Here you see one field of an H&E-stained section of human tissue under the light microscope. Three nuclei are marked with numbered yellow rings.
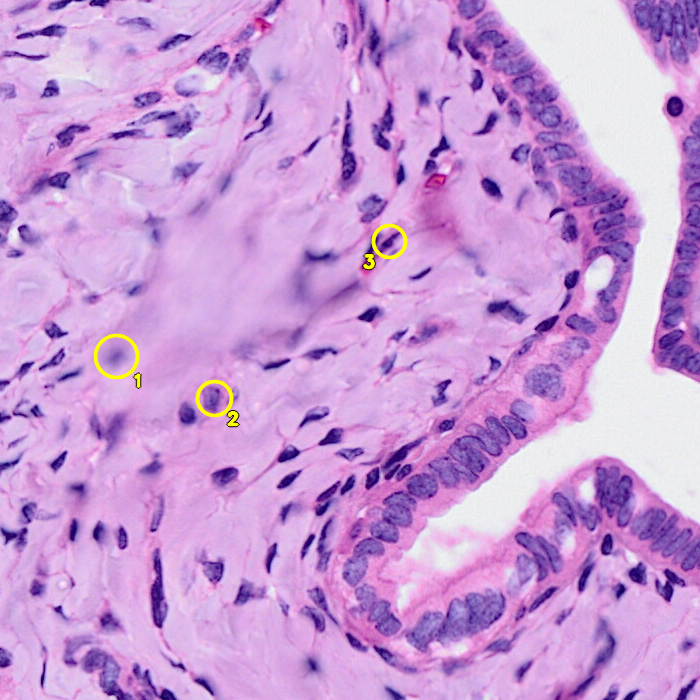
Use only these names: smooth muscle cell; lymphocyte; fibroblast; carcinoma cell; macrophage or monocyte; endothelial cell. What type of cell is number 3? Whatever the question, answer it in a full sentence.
Belonging to an endothelial cell is the nucleus that carries the number 3.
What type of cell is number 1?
The cell that bears the number 1 is a fibroblast.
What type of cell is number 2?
It is as an endothelial cell that the cell numbered 2 is identified.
